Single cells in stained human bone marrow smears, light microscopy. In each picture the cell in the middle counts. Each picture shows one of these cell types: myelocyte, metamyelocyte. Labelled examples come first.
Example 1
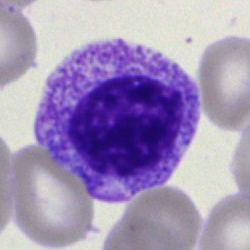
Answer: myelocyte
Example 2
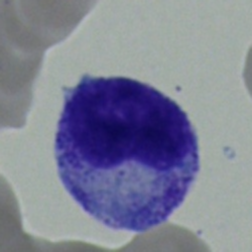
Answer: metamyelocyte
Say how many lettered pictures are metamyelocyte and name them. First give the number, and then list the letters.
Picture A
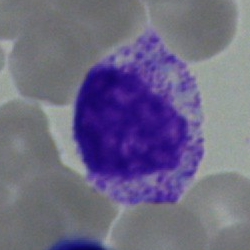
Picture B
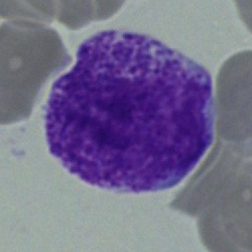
0, none of them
